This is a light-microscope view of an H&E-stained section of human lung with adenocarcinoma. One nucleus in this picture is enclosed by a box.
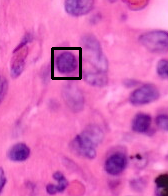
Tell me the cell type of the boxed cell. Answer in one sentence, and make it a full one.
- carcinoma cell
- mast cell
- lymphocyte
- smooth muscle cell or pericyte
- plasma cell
The identity of the boxed cell: it is a plasma cell.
